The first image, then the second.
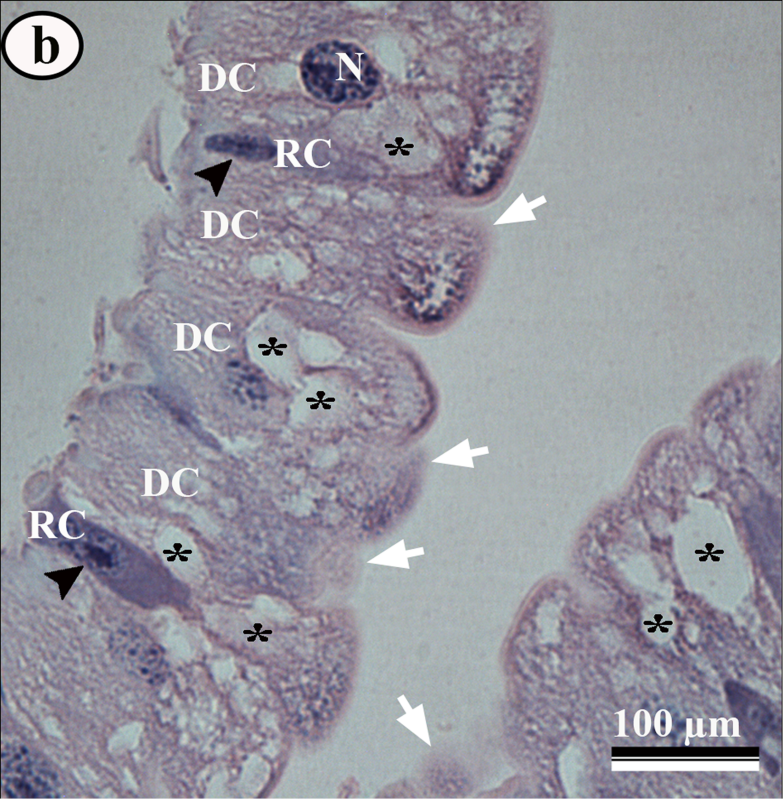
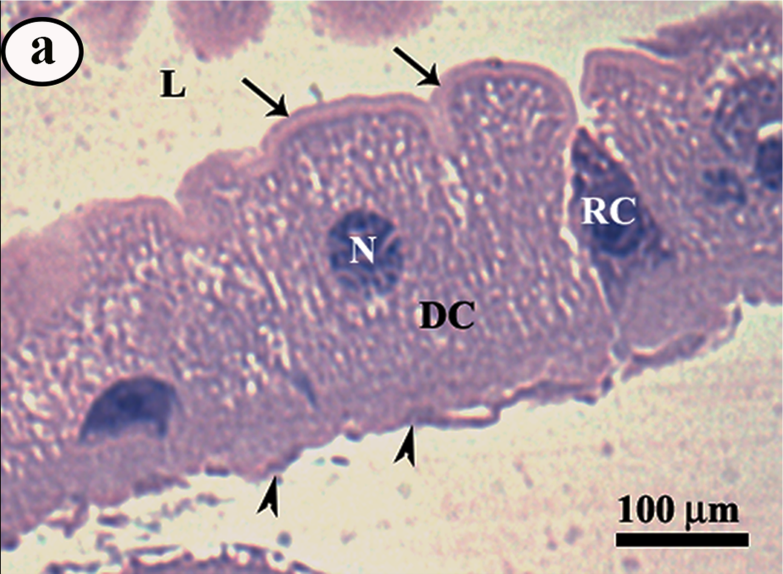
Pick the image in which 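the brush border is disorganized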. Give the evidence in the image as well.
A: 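The first image. Second image: a continuous, crisp apical band lines the cells.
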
